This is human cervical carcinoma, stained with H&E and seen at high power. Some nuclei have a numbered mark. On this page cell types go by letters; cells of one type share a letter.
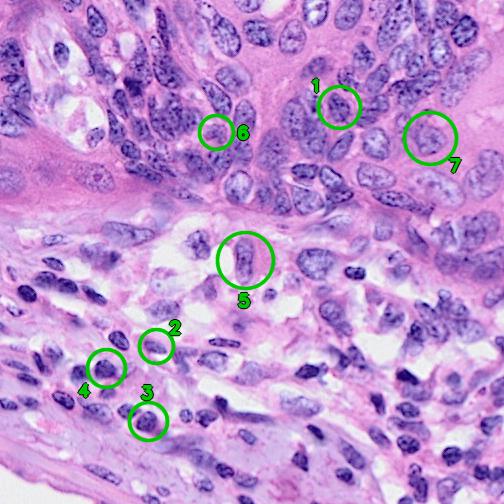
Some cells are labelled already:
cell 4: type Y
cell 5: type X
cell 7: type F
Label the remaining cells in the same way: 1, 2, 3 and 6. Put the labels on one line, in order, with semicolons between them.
type F; type Y; type Y; type F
